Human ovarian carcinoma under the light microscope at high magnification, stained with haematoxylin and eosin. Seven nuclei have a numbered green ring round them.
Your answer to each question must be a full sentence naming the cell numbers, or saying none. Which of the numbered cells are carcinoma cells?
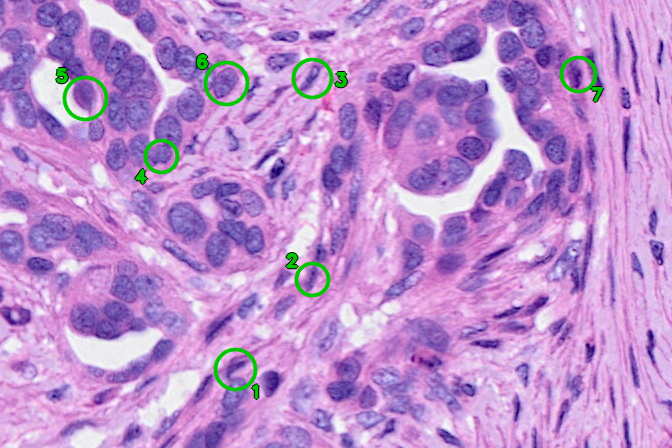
The cells numbered 4, 5 and 6 are typed as carcinoma cells.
